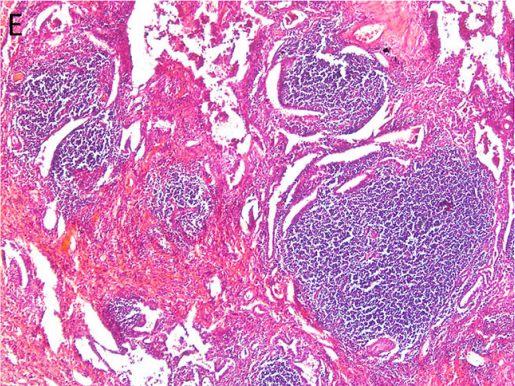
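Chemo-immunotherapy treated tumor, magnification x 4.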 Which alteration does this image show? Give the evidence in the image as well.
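Large rounded dense blue aggregates of small cells. Aggregates lie within pink fibrous stroma. So: inflammatory infiltrate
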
